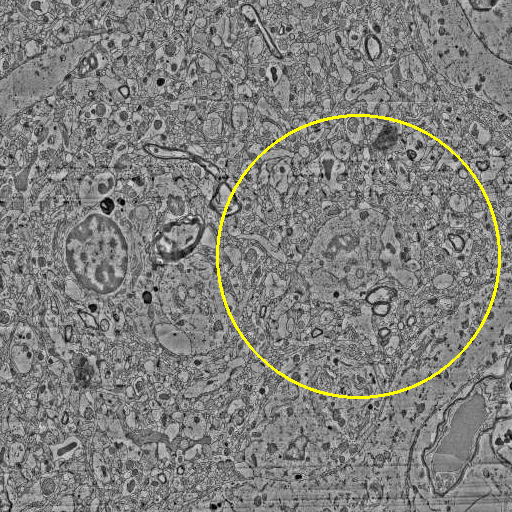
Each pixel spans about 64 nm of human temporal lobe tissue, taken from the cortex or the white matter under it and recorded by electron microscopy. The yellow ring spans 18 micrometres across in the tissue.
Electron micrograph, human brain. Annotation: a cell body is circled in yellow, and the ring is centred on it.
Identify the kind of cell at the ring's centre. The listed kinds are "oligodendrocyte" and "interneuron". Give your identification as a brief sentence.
The circled cell body is that of an interneuron.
